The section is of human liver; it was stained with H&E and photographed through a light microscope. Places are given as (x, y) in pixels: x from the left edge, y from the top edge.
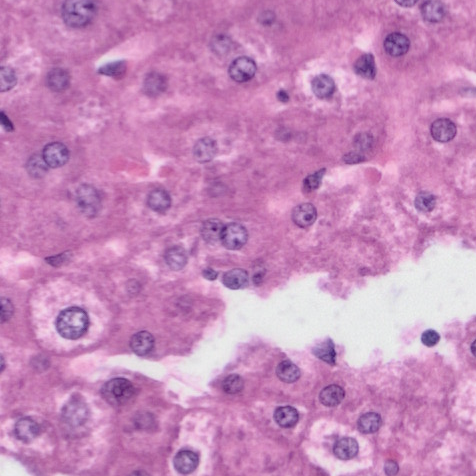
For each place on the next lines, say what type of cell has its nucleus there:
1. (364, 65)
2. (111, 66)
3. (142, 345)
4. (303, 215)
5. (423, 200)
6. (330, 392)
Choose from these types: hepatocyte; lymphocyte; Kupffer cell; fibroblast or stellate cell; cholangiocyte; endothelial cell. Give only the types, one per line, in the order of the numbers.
endothelial cell
endothelial cell
hepatocyte
hepatocyte
hepatocyte
hepatocyte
